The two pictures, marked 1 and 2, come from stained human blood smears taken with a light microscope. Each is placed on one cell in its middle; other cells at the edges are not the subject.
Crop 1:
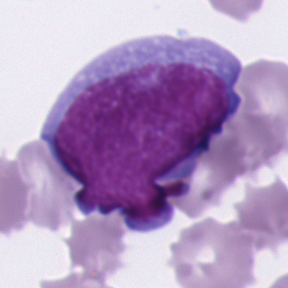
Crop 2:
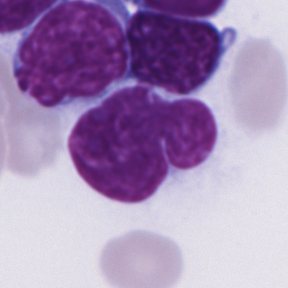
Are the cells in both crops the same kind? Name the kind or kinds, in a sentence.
Yes, the cells that the two crops centre on are myeloblasts.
